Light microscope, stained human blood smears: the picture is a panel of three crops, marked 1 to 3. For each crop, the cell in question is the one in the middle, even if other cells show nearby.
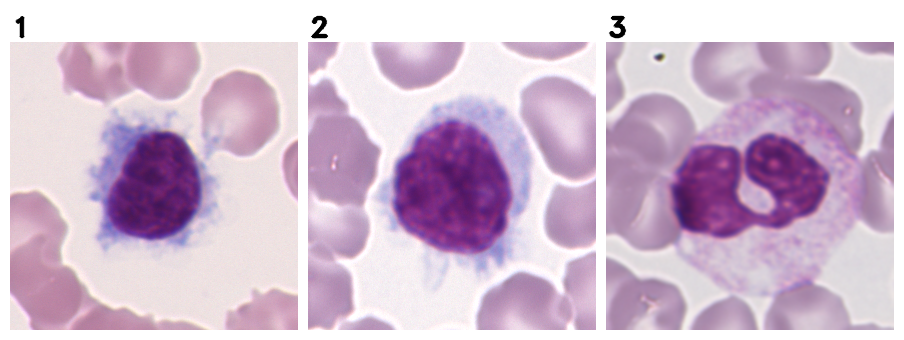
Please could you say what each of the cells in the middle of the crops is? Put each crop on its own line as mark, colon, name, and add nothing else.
1: hairy cell
2: hairy cell
3: neutrophil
